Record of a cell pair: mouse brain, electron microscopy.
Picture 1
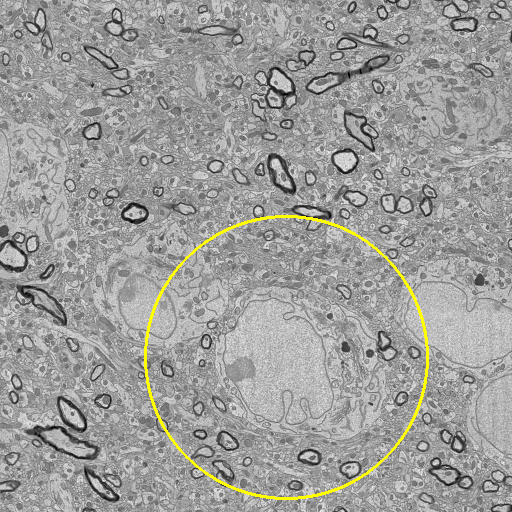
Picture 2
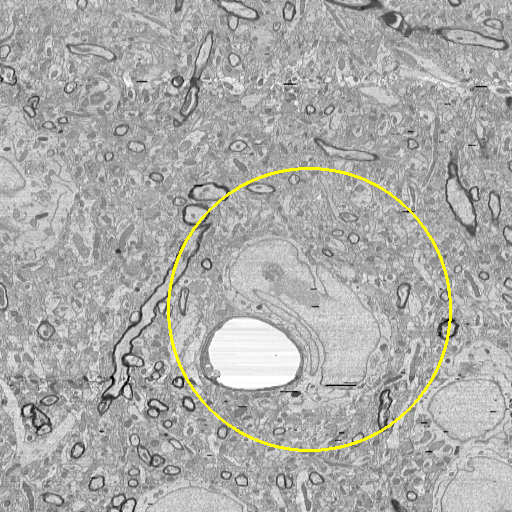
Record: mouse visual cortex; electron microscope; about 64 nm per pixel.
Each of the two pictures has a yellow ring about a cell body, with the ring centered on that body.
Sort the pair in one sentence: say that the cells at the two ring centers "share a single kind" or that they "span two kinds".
The cells centered in the rings of Pictures 1 and 2 share a single kind.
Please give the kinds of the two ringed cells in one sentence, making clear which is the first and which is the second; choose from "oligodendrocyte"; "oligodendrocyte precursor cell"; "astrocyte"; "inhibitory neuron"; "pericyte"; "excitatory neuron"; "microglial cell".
In each picture the ringed cell is an inhibitory neuron.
